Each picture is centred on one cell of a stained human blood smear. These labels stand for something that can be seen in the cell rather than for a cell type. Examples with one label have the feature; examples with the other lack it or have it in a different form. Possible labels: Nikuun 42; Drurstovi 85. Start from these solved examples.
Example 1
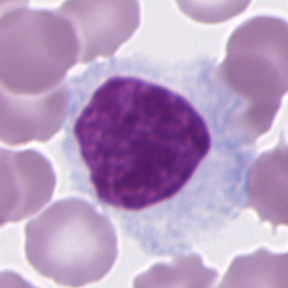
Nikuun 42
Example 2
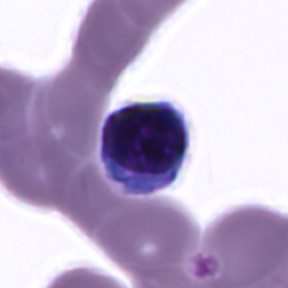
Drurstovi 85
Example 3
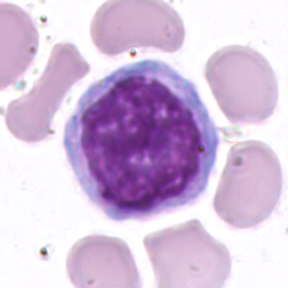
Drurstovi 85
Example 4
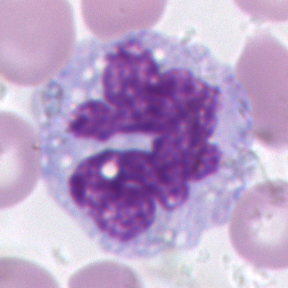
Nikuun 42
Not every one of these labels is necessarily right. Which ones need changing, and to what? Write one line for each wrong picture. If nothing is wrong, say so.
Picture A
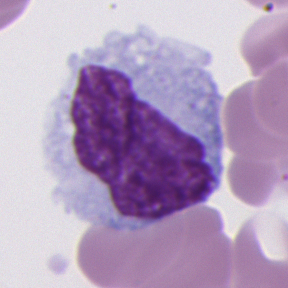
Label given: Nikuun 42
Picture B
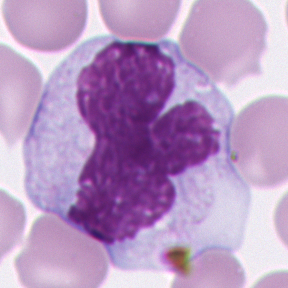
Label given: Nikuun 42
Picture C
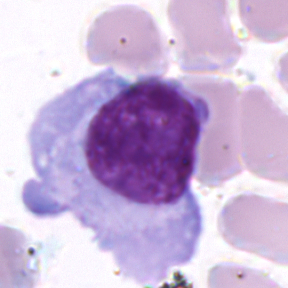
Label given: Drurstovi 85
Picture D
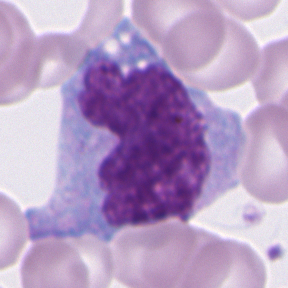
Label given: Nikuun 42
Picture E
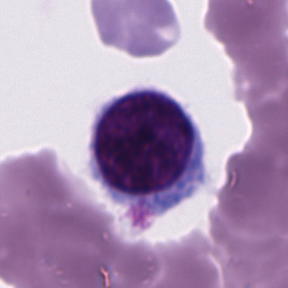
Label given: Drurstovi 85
C: not Drurstovi 85 but Nikuun 42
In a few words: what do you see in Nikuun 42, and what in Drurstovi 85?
Nikuun 42, abundant cytoplasm; Drurstovi 85, scant cytoplasm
